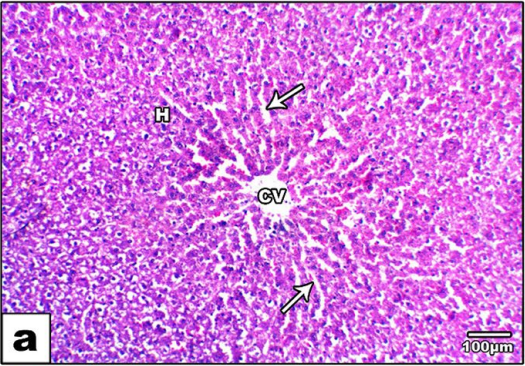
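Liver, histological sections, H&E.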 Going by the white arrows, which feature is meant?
Blood sinusoids.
